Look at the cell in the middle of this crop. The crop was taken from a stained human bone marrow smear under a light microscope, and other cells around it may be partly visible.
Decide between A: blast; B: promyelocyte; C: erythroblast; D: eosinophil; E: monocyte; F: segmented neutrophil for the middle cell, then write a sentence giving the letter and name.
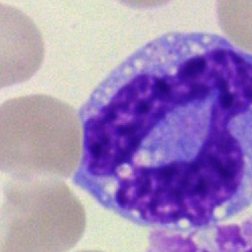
The cell right in the middle is a monocyte, so option E is the one.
